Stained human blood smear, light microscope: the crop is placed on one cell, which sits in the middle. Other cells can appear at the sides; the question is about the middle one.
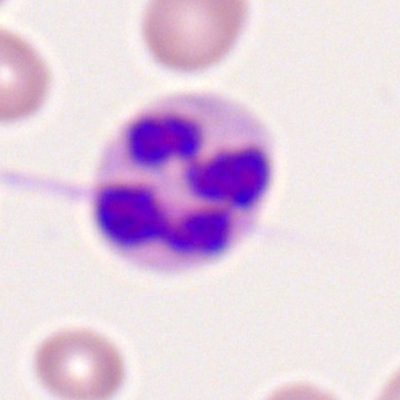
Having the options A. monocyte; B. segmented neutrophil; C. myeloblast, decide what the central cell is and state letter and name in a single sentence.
In this crop the middle cell is a segmented neutrophil, so option B is the correct answer.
